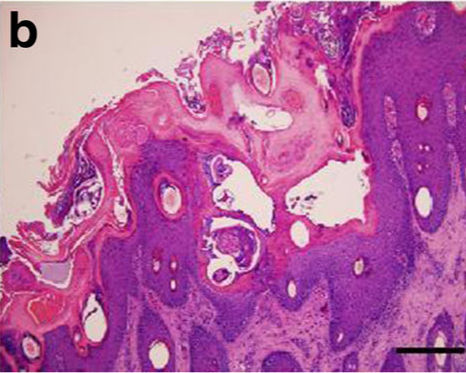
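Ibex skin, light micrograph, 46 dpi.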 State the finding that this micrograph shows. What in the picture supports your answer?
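Acanthosis. The purple epidermis is many cells thick. Broad epidermal downgrowths reach deep into the dermis.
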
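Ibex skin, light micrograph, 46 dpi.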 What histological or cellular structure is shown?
serocellular and eosinophilic crusts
